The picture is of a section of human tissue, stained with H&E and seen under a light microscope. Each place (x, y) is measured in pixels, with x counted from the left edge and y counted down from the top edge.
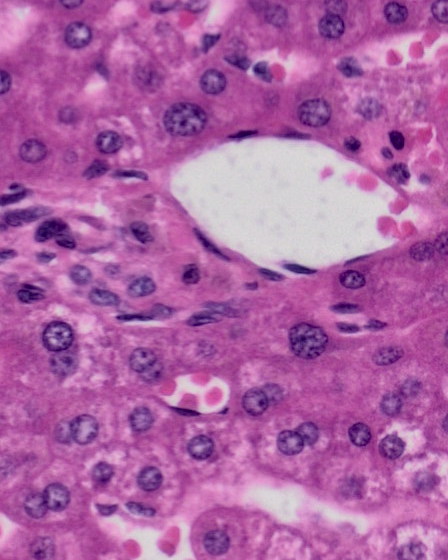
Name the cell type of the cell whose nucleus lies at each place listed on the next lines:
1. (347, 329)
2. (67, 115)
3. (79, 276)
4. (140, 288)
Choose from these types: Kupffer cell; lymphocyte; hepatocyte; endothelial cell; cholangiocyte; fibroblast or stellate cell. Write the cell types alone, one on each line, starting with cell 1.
fibroblast or stellate cell
hepatocyte
cholangiocyte
cholangiocyte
